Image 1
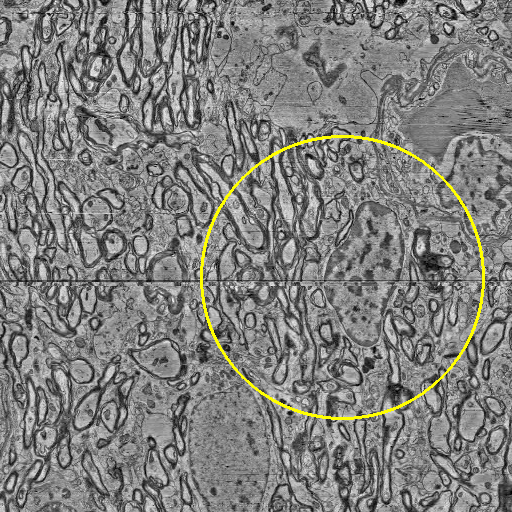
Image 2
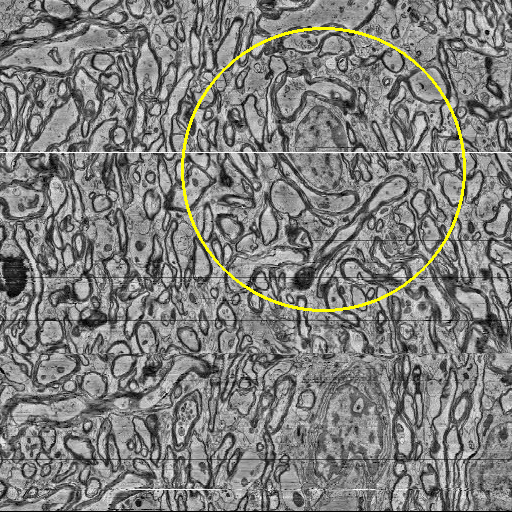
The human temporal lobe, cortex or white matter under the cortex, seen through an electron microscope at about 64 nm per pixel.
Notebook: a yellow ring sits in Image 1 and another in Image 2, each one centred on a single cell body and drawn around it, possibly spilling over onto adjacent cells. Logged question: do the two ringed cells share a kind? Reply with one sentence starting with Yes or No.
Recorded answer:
Yes, both centre cells inside the rings of Image 1 and Image 2 share one kind.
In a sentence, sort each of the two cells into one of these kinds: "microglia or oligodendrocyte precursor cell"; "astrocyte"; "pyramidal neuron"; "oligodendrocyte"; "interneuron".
In each of the two pictures, the ringed cell is a microglial cell or oligodendrocyte precursor cell.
